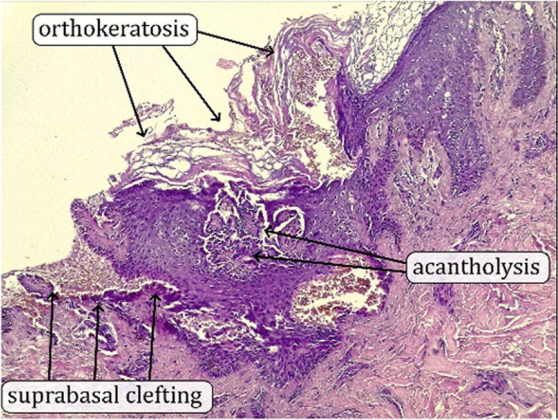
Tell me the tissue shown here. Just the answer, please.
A: skin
